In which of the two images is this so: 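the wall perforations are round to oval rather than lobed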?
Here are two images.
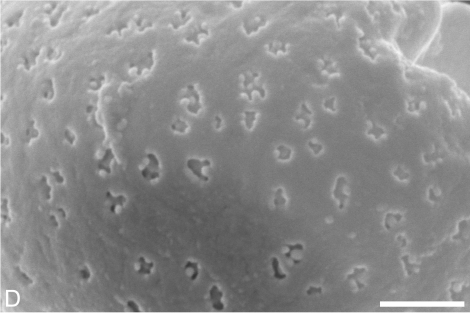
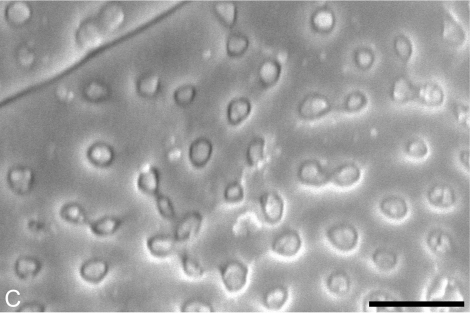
The second image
